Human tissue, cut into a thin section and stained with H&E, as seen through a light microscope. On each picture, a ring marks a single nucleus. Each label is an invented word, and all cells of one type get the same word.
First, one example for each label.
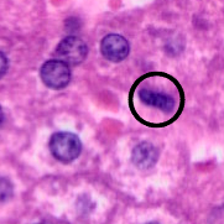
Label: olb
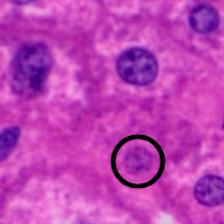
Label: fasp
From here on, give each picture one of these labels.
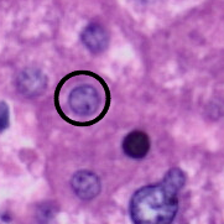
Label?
fasp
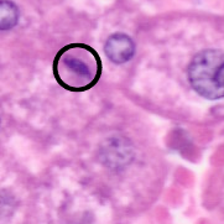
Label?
olb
